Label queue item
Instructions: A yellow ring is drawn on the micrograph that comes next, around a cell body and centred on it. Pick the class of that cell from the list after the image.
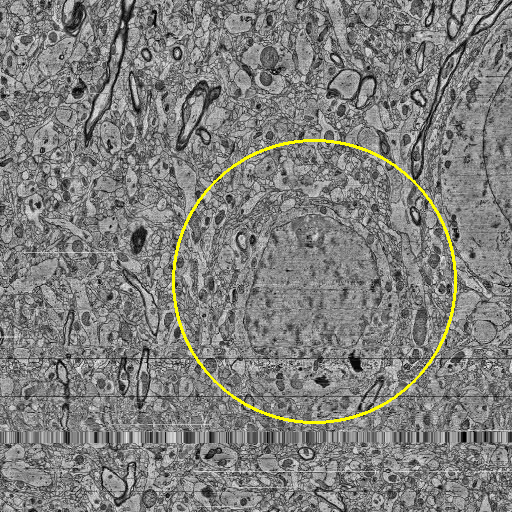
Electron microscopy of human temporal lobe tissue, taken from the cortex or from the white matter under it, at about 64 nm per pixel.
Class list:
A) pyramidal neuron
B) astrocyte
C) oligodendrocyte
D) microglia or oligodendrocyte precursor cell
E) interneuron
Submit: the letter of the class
E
